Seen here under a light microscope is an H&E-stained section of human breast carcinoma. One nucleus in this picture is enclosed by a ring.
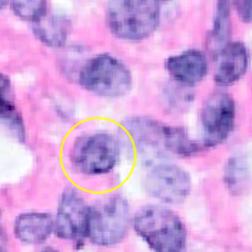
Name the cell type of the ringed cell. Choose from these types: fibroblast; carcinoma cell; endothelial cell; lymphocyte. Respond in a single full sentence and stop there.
For cell typing purposes, the ringed cell is a carcinoma cell.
